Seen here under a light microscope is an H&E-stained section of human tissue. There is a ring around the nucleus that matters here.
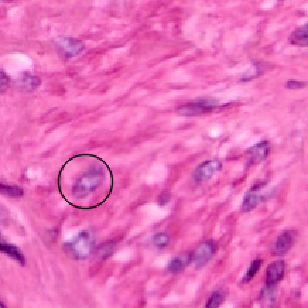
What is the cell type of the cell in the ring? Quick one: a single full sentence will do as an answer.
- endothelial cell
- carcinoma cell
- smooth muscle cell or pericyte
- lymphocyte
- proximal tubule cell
Within this tissue, the cell in the ring is a smooth muscle cell or pericyte.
